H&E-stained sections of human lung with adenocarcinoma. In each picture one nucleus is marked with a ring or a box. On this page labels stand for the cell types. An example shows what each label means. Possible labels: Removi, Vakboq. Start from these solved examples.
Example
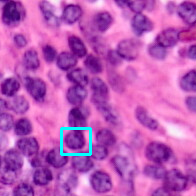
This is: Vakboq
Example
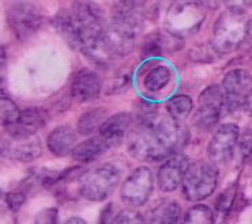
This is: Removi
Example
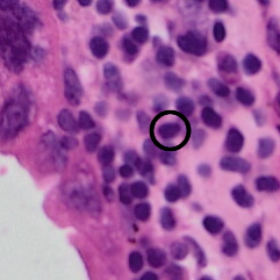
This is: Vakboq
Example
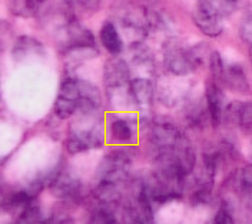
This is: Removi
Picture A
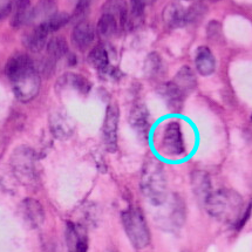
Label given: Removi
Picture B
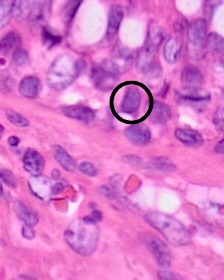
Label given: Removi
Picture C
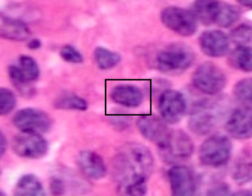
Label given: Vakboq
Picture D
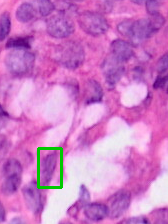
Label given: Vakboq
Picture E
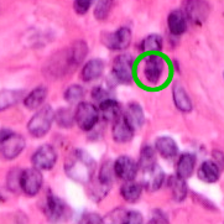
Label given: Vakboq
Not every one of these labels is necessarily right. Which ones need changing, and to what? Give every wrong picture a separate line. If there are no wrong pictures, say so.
D: not Vakboq but Removi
